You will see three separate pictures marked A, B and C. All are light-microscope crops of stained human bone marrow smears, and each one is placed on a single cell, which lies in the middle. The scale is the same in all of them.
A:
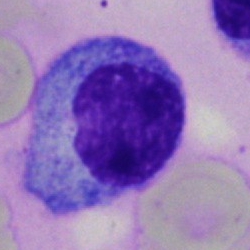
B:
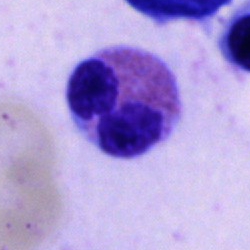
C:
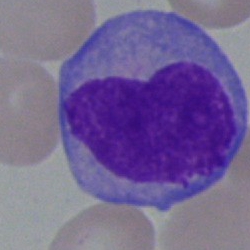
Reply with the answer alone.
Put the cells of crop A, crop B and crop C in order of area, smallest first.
B, A, C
